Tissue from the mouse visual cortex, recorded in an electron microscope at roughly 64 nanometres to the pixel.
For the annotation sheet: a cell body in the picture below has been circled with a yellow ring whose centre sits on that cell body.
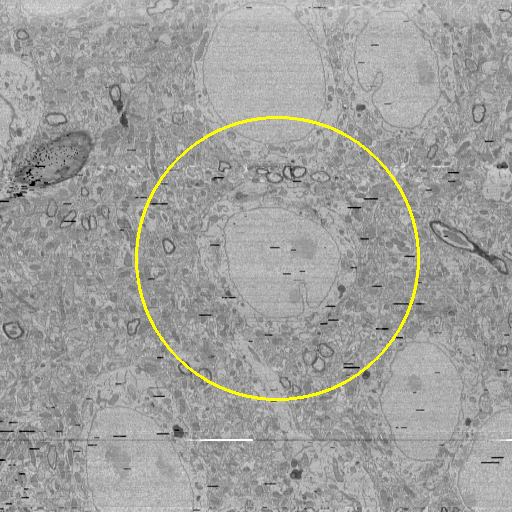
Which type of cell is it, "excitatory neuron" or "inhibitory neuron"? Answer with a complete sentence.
The circled cell is an excitatory neuron.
